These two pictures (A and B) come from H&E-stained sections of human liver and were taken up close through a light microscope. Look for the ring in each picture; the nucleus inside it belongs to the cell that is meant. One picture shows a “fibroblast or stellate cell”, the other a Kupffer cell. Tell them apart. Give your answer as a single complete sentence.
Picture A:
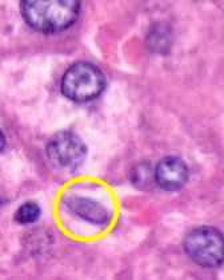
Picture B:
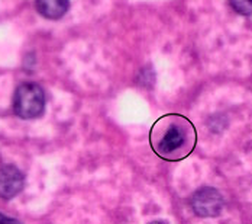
The cell in picture A is a Kupffer cell, and the one in picture B is a “fibroblast or stellate cell”.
